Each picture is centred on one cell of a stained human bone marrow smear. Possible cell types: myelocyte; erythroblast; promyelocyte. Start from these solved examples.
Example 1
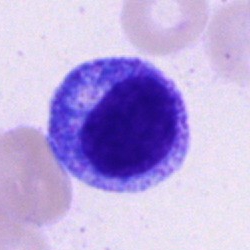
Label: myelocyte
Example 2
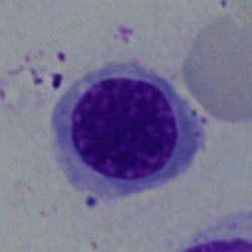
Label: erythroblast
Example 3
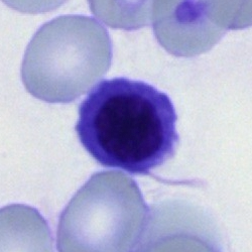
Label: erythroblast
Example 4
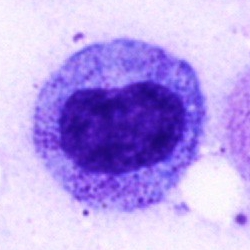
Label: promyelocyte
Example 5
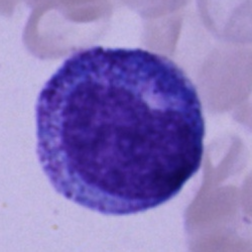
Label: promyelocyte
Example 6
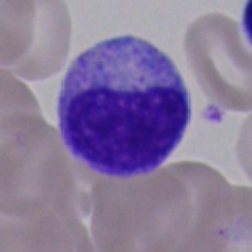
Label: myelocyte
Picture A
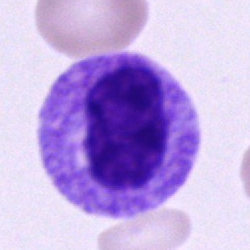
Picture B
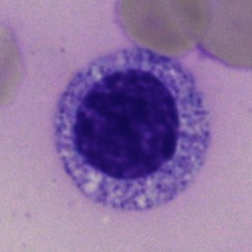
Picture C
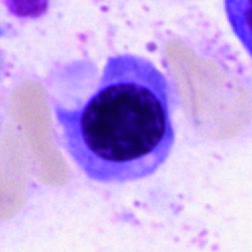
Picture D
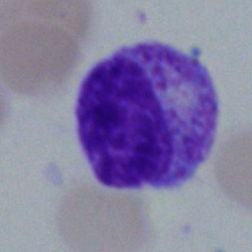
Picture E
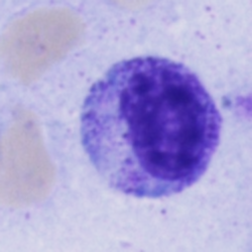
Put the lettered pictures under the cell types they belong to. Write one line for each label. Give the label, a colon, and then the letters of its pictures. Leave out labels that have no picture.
myelocyte: A, B, D, E
erythroblast: C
